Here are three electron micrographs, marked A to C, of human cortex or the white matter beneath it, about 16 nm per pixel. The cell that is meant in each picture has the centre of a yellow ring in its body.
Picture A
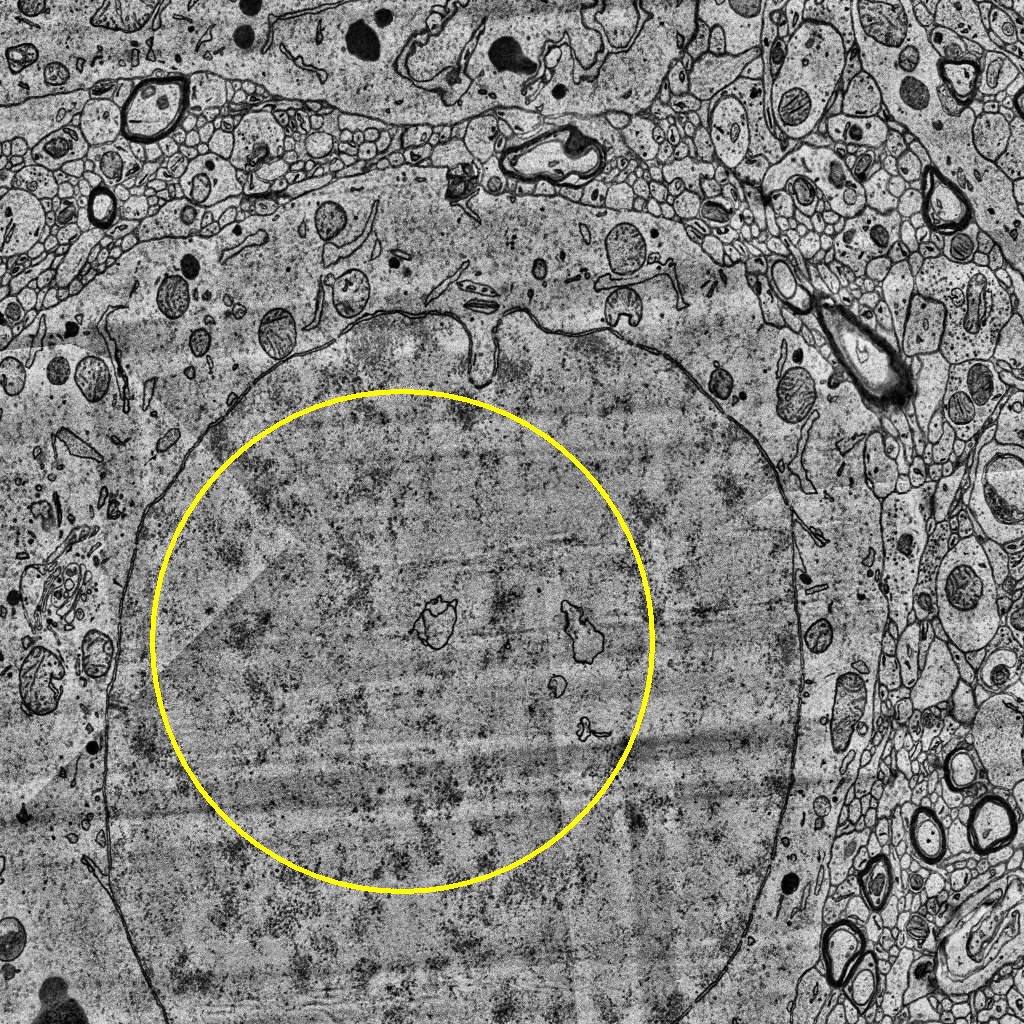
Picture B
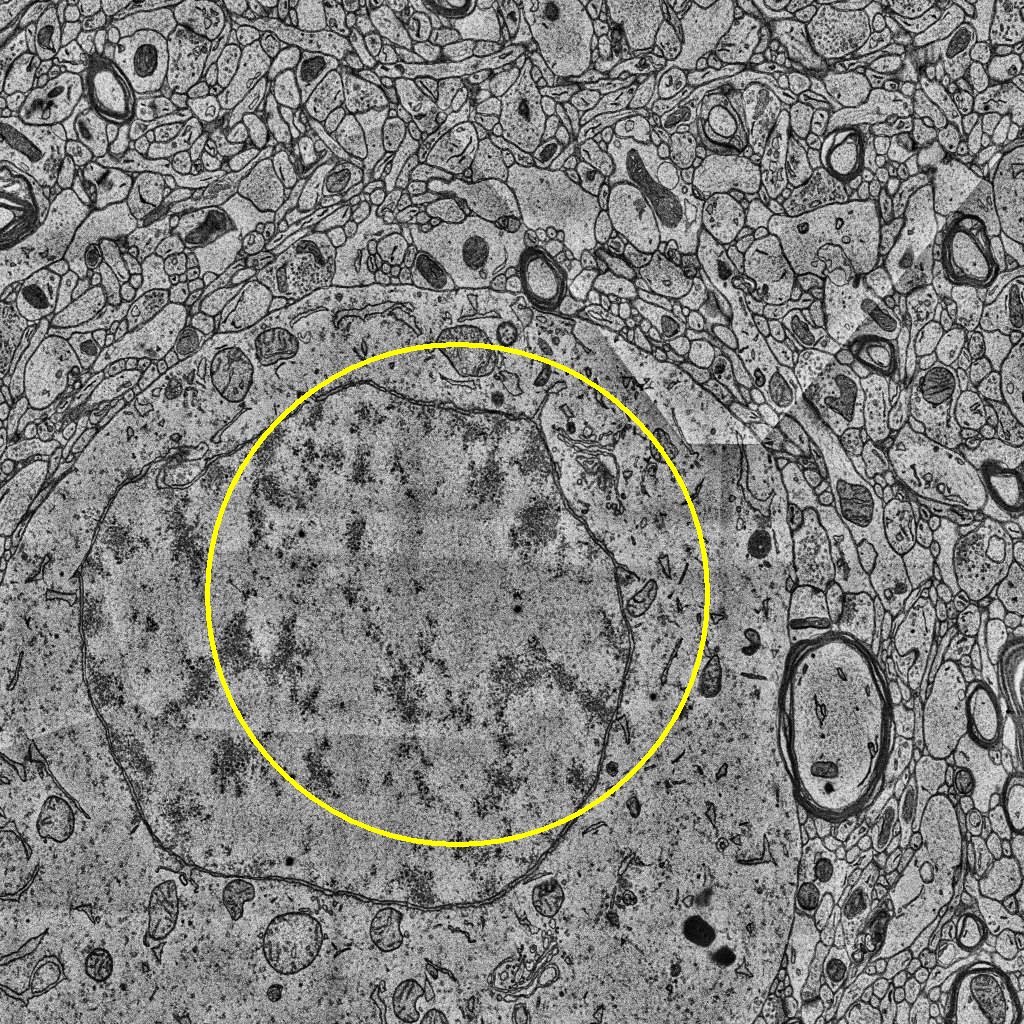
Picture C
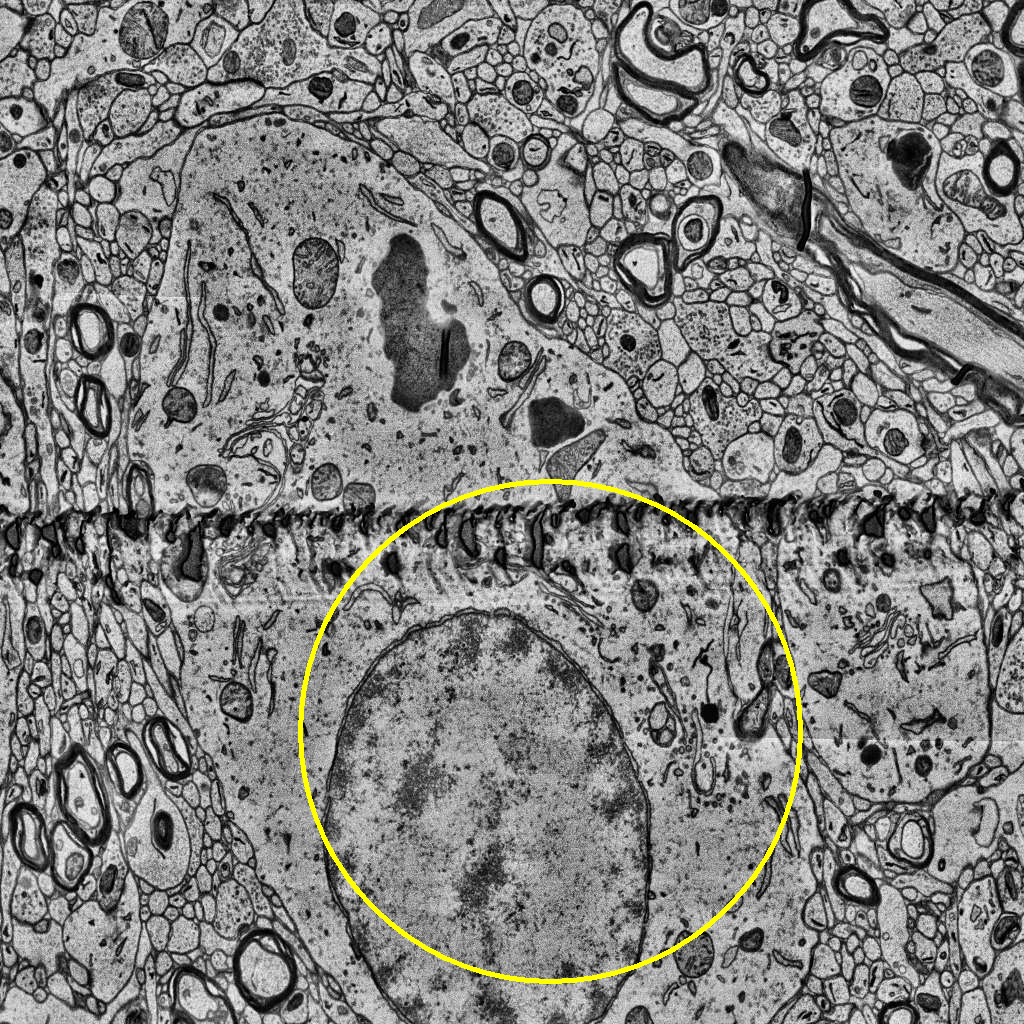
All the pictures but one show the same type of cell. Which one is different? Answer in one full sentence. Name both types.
The others show pyramidal neurons, but picture C shows an interneuron.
